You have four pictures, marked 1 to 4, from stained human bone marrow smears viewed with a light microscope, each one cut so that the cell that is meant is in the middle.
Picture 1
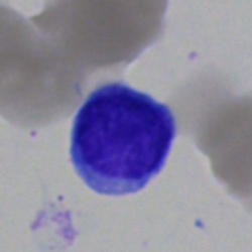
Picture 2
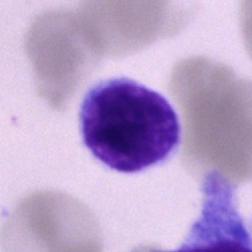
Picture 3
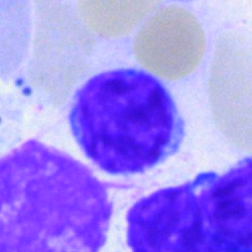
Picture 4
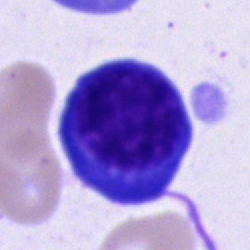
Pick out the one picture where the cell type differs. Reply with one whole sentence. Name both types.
Unlike the rest, which show lymphocytes, picture 4 shows a plasma cell.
